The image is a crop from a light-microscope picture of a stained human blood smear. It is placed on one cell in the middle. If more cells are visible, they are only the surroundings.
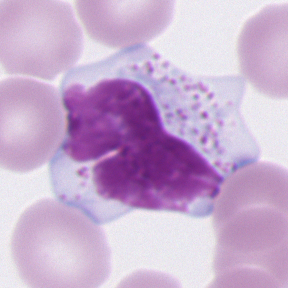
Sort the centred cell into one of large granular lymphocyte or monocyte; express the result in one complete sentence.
The cell the crop is centered on is a large granular lymphocyte.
